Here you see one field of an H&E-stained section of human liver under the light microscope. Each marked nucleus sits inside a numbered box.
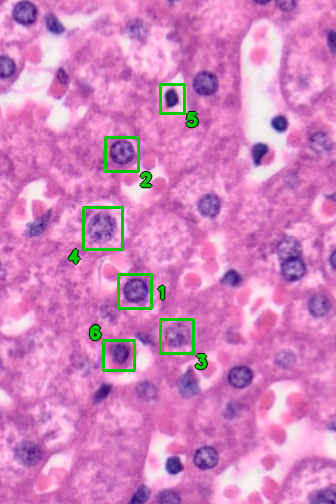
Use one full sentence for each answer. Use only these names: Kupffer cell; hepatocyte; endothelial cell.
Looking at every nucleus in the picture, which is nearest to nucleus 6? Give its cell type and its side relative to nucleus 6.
It is an endothelial cell, whose nucleus lies above and to the right of nucleus 6.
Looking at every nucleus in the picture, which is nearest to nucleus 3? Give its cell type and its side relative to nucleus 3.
Just to the left of nucleus 3 lies the nearest nucleus, which belongs to an endothelial cell.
